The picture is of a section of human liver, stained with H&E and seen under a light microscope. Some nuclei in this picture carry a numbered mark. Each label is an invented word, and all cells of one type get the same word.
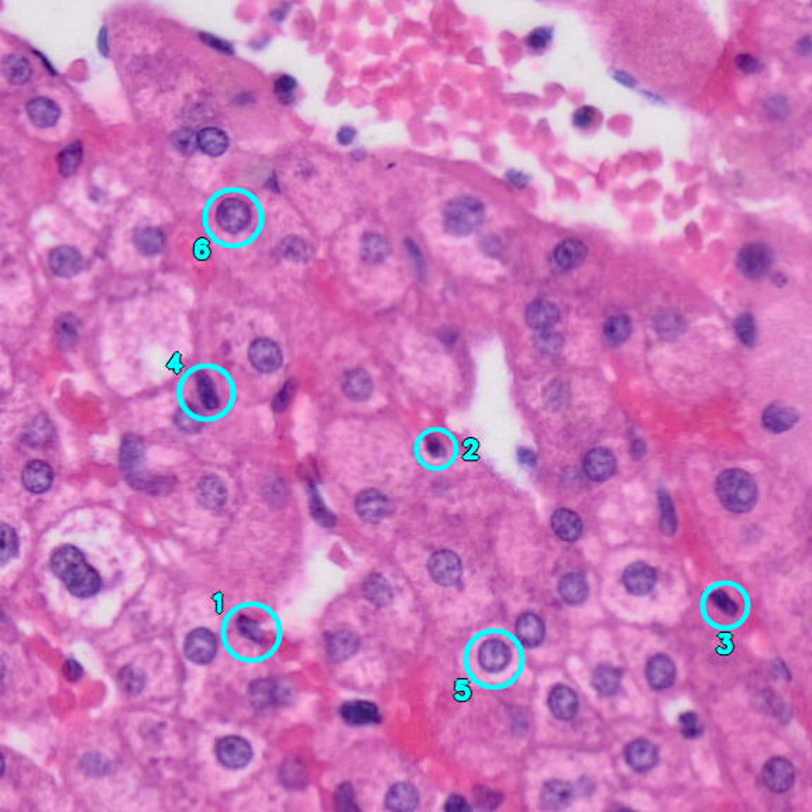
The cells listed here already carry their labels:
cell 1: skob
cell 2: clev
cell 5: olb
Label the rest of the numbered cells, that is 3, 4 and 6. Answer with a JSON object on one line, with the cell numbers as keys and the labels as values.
{"3": "clev", "4": "skob", "6": "olb"}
